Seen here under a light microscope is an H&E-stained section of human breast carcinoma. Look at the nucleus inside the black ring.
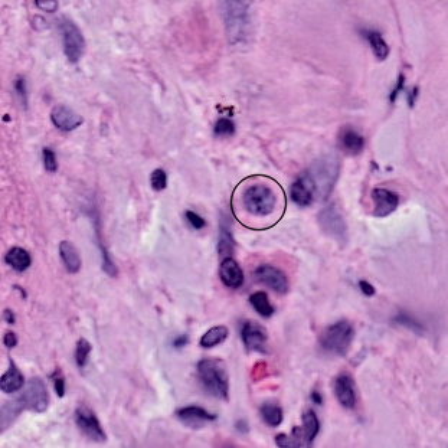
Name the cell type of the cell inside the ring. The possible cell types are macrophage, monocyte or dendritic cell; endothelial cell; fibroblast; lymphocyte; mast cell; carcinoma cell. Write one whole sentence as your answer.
With respect to cell type, the cell inside the ring is a mast cell.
